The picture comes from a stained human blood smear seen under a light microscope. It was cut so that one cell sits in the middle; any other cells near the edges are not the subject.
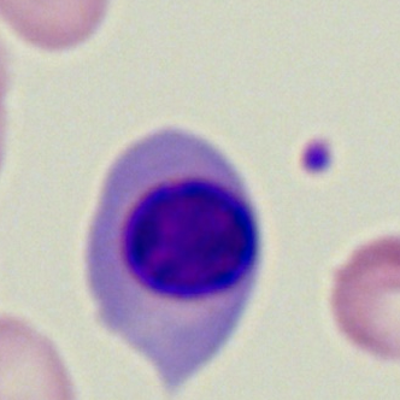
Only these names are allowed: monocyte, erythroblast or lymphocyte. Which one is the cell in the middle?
erythroblast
